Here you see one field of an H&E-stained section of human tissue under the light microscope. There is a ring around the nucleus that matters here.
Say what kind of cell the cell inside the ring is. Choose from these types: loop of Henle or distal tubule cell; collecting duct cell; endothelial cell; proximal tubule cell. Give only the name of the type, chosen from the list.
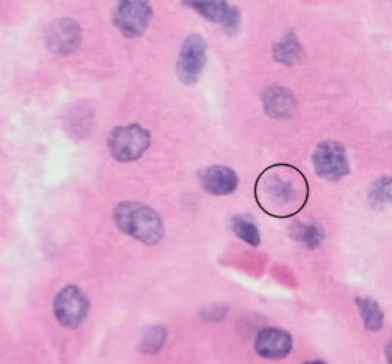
loop of Henle or distal tubule cell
